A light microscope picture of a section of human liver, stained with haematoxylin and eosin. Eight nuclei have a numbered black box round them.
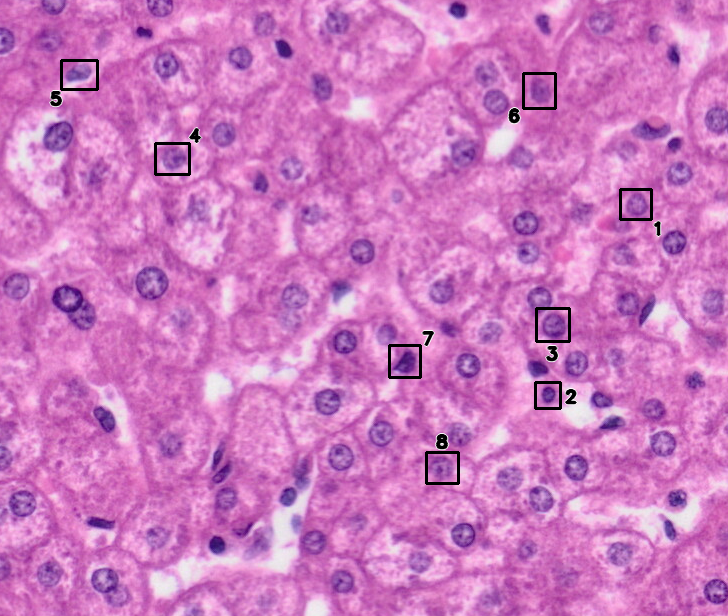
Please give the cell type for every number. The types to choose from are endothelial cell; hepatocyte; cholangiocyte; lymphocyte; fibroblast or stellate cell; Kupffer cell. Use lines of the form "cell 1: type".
cell 1: hepatocyte
cell 2: lymphocyte
cell 3: hepatocyte
cell 4: hepatocyte
cell 5: endothelial cell
cell 6: endothelial cell
cell 7: fibroblast or stellate cell
cell 8: hepatocyte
